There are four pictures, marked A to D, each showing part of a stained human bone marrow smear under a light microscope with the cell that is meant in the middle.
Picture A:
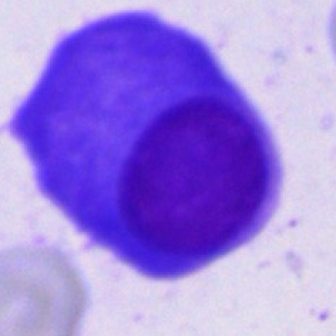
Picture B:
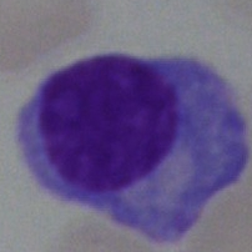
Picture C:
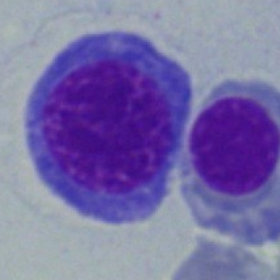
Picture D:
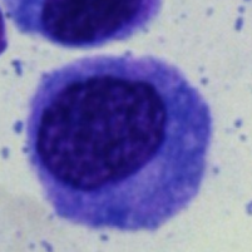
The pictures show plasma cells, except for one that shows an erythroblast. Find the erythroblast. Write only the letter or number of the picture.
C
